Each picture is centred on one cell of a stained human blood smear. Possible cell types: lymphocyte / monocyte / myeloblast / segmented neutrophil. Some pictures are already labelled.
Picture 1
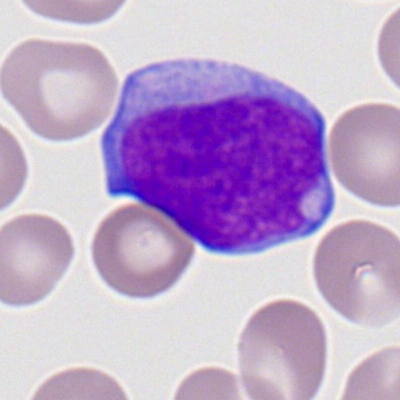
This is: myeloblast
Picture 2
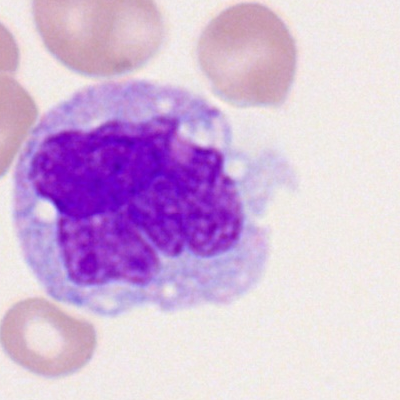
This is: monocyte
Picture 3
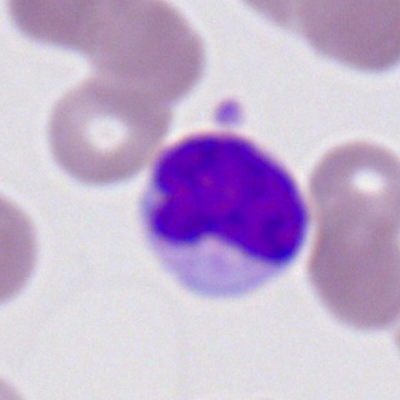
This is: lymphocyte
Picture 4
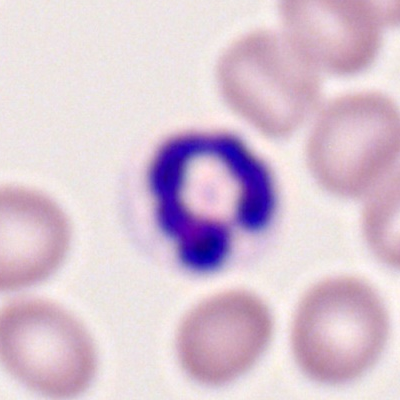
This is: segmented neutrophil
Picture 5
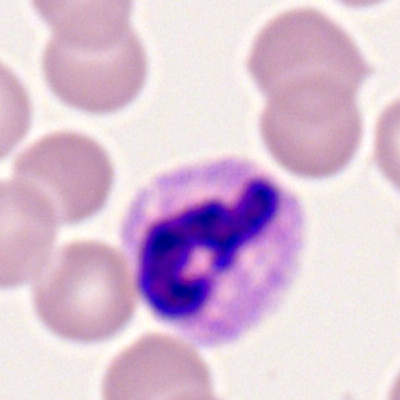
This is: segmented neutrophil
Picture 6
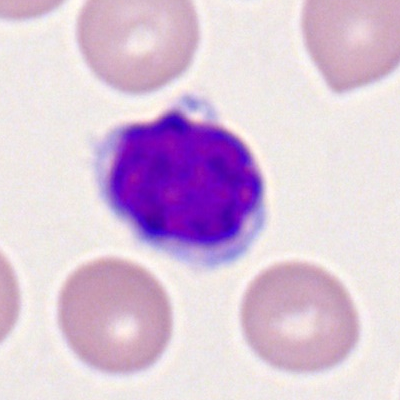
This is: lymphocyte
